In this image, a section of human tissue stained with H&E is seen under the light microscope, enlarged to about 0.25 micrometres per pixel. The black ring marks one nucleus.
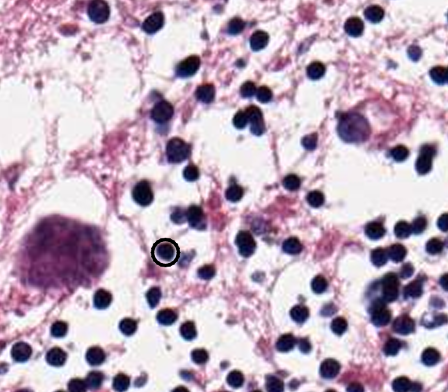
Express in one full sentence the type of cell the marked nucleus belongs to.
The marked nucleus is recognized as the nucleus of a cerebellar granule cell.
